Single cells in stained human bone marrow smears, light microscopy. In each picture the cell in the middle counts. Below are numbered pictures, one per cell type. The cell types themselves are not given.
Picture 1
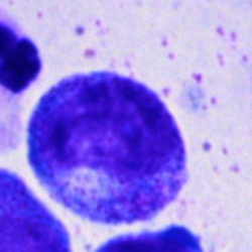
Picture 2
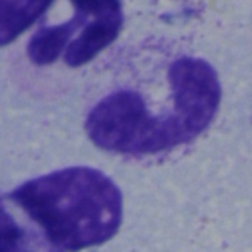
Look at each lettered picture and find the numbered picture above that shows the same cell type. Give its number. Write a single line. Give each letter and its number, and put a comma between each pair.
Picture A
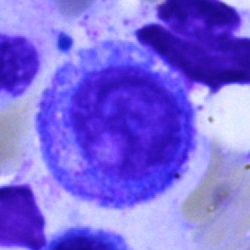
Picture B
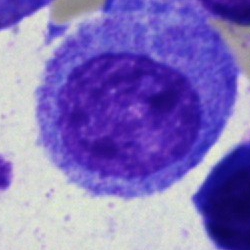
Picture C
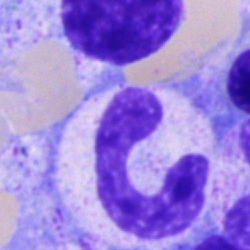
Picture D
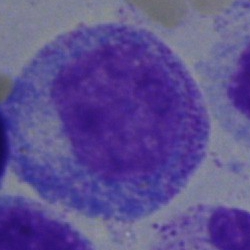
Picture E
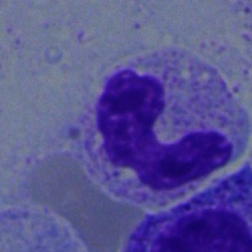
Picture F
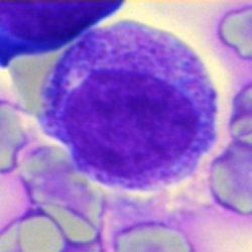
A 1, B 1, C 2, D 1, E 2, F 1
